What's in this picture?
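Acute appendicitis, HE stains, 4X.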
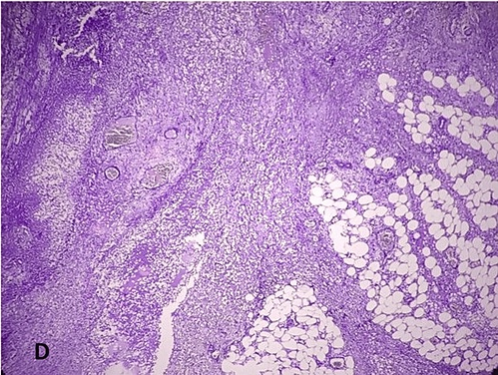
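At low power the wall of the appendix is replaced by densely cellular, purple inflamed tissue that reaches out among the clear, rounded fat cells of the surrounding adipose tissue. On the left, dilated vessels packed with blood lie within the inflamed tissue. The inflammation has spread through the wall into the tissue around the appendix, with congested vessels.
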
